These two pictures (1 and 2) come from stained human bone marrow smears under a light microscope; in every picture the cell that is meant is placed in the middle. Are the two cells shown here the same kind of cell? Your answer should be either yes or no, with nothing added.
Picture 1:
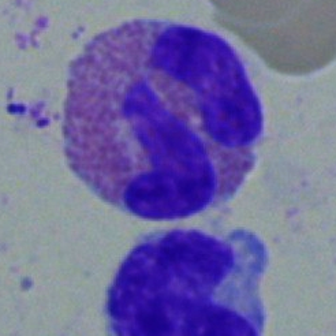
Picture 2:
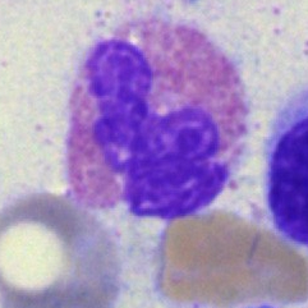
yes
